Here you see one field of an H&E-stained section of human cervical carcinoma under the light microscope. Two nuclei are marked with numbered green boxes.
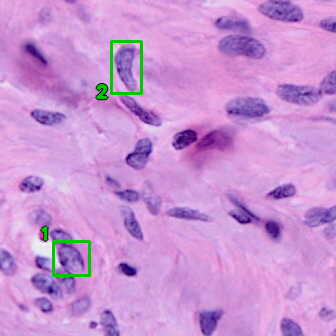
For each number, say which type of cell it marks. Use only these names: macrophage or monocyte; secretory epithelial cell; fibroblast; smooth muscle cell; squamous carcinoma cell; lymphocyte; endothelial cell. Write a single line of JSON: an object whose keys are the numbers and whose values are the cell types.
{"1": "endothelial cell", "2": "fibroblast"}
